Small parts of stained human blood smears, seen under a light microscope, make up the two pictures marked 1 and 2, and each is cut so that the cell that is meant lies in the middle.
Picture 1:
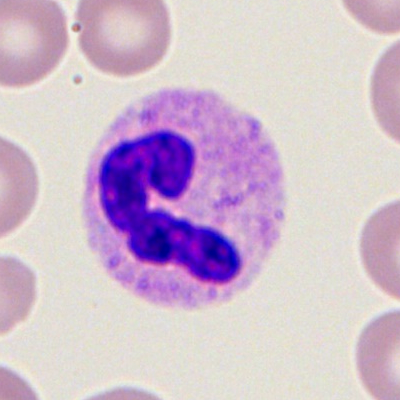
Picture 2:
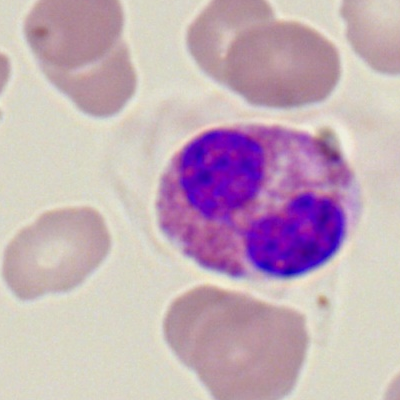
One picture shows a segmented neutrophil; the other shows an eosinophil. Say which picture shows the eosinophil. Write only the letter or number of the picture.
2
